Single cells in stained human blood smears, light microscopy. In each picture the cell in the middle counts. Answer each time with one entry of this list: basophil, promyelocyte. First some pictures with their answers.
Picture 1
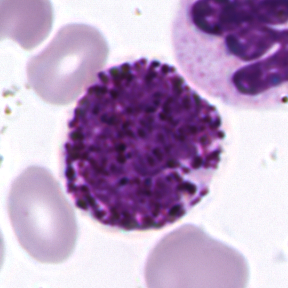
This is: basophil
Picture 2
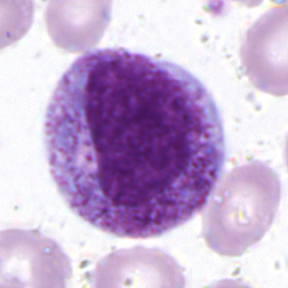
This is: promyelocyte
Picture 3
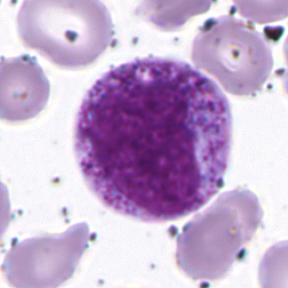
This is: promyelocyte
